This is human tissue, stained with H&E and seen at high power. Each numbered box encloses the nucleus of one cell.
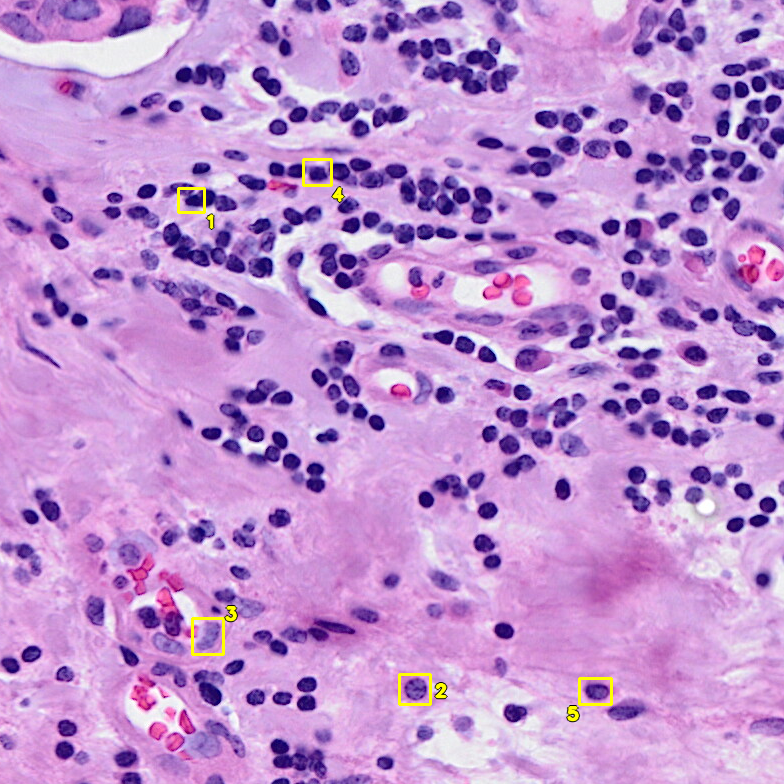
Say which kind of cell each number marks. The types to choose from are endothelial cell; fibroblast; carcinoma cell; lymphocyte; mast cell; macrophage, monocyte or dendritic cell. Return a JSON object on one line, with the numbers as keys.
{"1": "lymphocyte", "2": "mast cell", "3": "endothelial cell", "4": "lymphocyte", "5": "mast cell"}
